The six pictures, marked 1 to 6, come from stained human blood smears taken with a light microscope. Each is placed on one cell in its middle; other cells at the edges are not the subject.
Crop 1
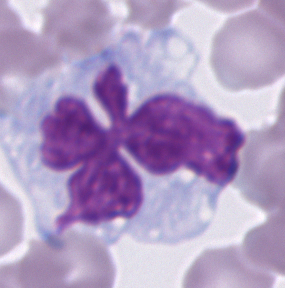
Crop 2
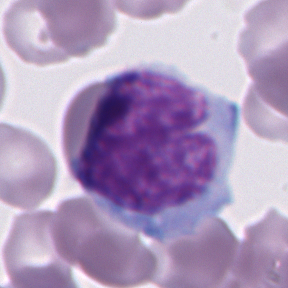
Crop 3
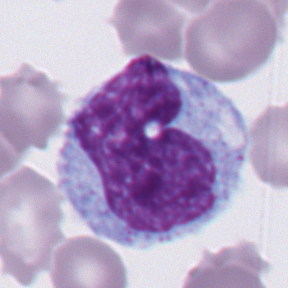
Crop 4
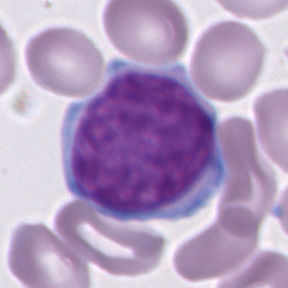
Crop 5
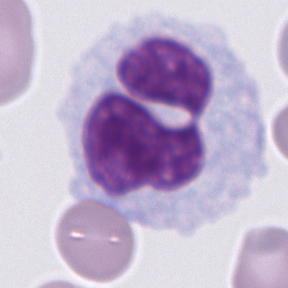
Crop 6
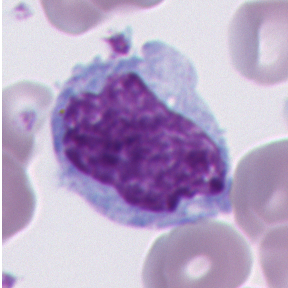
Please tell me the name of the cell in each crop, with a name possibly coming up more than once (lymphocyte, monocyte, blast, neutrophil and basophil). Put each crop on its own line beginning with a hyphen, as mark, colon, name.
- 1: monocyte
- 2: blast
- 3: monocyte
- 4: blast
- 5: monocyte
- 6: monocyte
